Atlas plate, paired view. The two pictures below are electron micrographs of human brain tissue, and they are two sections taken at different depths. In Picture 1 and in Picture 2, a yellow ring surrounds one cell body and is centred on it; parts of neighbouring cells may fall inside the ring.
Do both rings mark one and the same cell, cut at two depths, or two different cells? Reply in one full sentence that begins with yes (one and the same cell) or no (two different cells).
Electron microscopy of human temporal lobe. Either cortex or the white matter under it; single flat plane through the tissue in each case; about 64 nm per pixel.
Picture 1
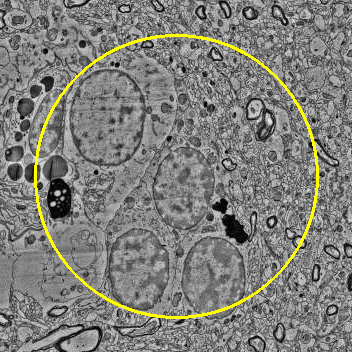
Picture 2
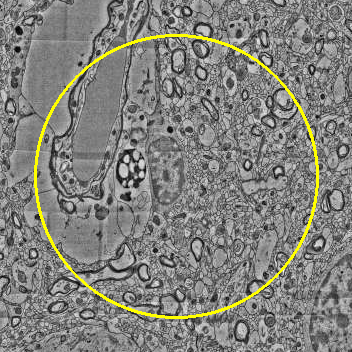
No, one ring marks one cell and the other ring marks another.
